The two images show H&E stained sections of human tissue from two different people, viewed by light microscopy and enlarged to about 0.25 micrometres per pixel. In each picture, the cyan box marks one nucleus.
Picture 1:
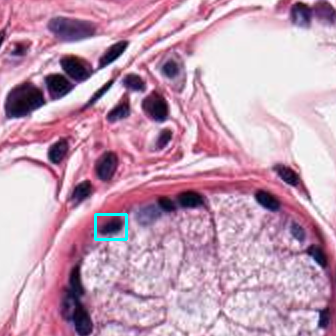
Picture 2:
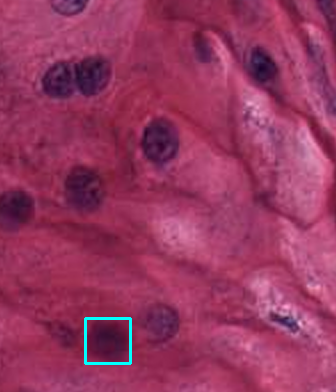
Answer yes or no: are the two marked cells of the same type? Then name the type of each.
No, the first is a mucous gland cell and the second a squamous epithelial cell.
